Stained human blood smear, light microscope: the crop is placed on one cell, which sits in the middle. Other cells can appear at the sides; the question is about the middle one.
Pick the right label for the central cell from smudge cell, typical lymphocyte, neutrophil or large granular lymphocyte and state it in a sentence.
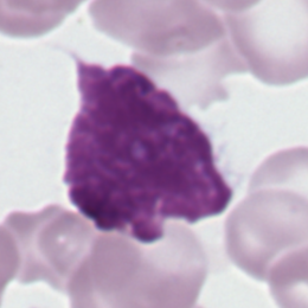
In the center of this field lies a smudge cell.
